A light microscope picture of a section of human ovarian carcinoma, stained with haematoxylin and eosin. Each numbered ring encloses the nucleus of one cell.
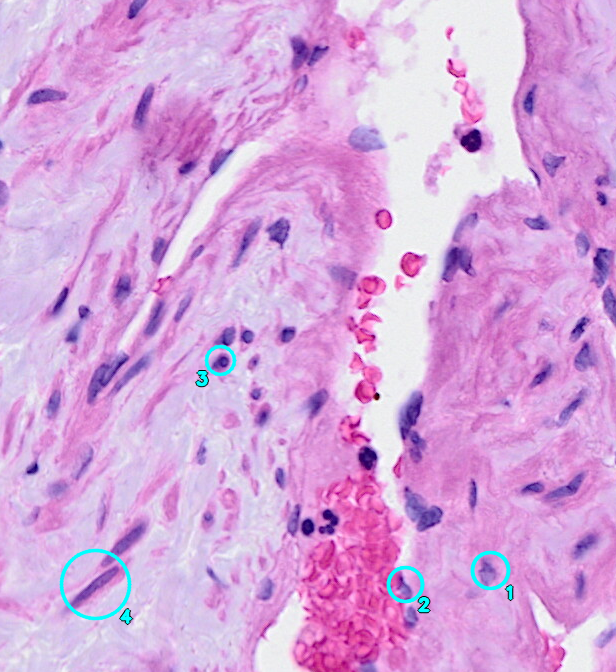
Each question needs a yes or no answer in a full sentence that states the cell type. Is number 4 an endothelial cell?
No, the cell under number 4 is a smooth muscle cell instead of an endothelial cell.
